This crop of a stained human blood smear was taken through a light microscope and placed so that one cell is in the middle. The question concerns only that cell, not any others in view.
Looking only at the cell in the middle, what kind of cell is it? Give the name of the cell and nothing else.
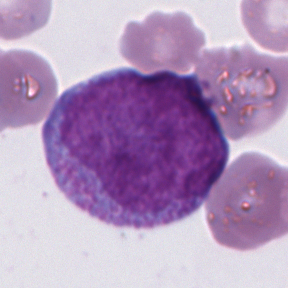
promyelocyte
